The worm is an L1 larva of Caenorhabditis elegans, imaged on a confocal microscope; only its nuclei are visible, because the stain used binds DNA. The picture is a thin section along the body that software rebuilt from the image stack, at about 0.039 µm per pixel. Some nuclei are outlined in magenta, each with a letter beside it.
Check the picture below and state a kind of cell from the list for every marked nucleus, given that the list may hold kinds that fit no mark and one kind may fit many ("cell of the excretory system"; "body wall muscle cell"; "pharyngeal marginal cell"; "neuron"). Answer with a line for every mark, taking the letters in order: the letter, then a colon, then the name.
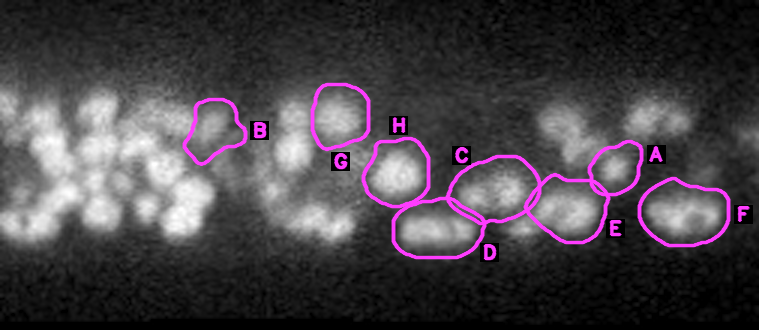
A: neuron
B: cell of the excretory system
C: pharyngeal marginal cell
D: body wall muscle cell
E: body wall muscle cell
F: body wall muscle cell
G: neuron
H: neuron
